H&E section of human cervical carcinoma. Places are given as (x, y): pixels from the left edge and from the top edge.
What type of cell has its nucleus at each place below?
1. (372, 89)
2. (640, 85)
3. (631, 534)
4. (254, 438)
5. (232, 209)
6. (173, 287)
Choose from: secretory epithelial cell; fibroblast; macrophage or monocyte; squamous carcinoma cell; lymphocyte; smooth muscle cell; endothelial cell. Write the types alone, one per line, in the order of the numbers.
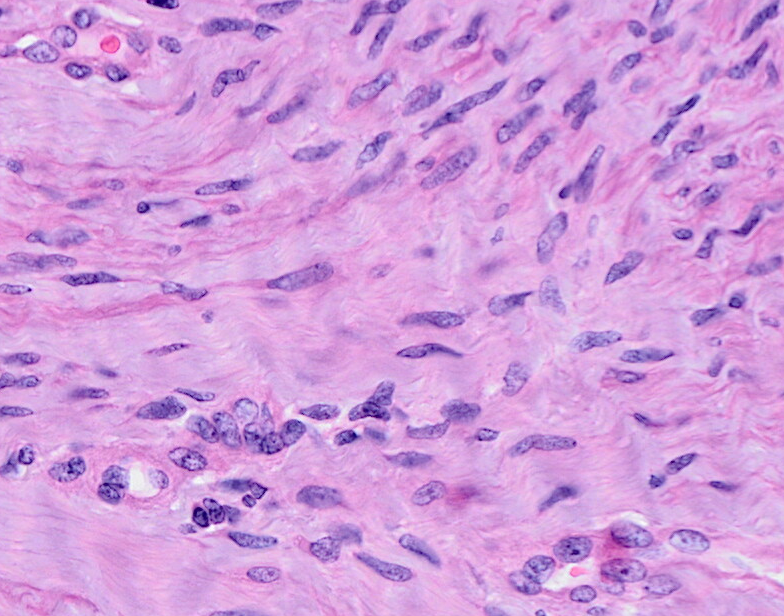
smooth muscle cell
smooth muscle cell
endothelial cell
endothelial cell
smooth muscle cell
smooth muscle cell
